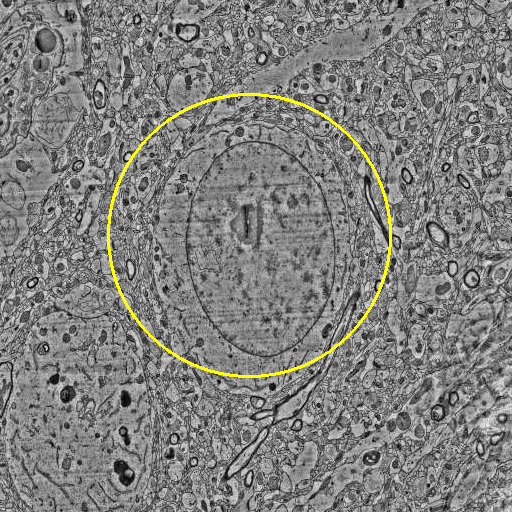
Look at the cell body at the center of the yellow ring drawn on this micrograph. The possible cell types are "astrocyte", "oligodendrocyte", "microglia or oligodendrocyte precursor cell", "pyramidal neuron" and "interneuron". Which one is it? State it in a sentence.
The cell in the middle of the ring is a pyramidal neuron.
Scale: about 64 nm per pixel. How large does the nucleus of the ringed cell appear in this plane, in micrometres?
Roughly 14 by 10 micrometres in this plane, for the nucleus of the ringed cell.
